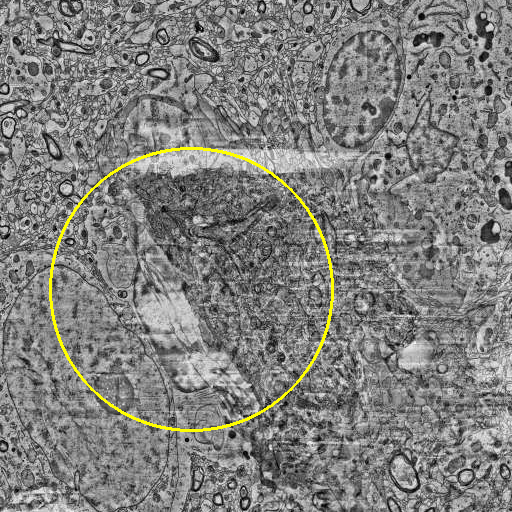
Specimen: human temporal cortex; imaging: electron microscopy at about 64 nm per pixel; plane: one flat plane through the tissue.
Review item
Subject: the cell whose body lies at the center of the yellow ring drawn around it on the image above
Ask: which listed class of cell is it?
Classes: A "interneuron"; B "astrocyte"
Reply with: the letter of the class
B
